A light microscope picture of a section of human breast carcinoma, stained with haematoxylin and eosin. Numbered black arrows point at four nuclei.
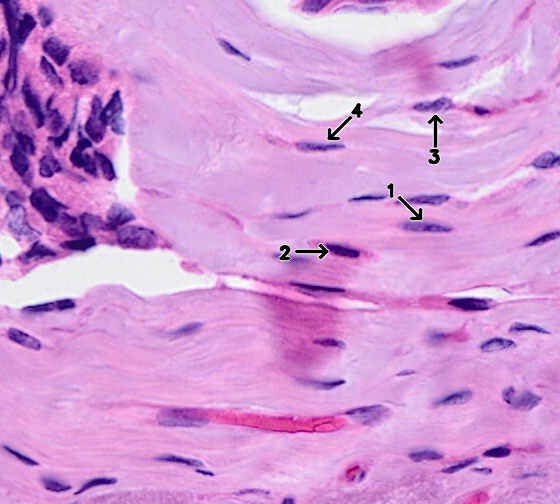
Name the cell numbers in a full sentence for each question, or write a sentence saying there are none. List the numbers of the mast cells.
Across all the numbered cells, only number 2 is a mast cell.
